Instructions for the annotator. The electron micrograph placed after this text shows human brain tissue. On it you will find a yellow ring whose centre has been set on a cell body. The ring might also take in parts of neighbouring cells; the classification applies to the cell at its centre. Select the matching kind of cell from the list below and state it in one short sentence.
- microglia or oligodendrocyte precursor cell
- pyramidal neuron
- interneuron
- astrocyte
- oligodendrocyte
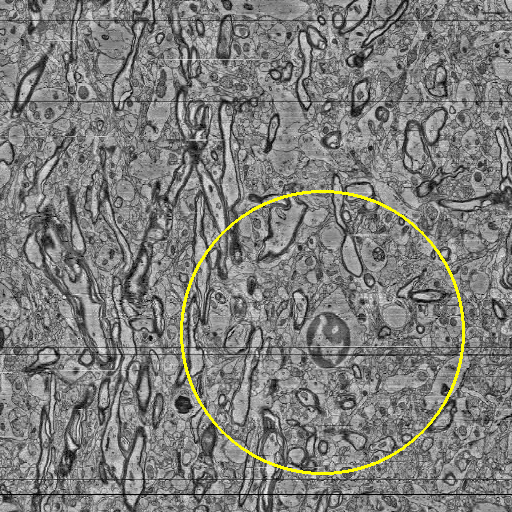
The ring is drawn on the cell body of a microglial cell or oligodendrocyte precursor cell.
